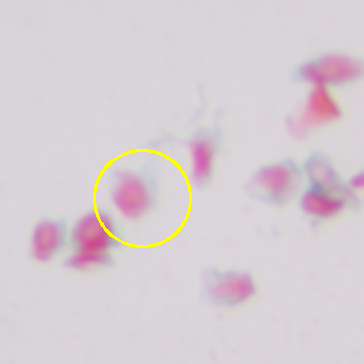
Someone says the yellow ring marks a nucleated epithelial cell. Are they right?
They are right: it is a nucleated epithelial cell.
